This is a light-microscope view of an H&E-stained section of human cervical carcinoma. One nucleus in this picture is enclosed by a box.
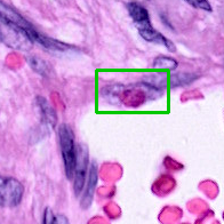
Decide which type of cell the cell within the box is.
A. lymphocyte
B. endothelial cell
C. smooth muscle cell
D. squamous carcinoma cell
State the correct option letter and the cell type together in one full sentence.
Exactly as option B gives it, the cell within the box is an endothelial cell.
